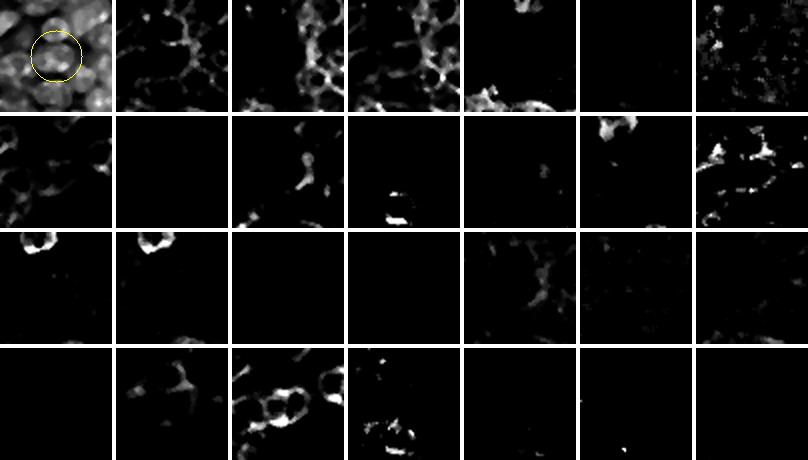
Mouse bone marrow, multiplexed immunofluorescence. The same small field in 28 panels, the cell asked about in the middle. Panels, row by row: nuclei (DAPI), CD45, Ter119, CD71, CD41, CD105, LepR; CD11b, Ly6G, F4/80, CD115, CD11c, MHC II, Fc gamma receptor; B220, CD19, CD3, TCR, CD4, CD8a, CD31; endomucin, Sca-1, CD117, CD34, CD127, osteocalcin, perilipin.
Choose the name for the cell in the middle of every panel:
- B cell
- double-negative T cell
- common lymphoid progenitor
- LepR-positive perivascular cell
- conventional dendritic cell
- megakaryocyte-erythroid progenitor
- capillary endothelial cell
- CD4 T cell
megakaryocyte-erythroid progenitor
